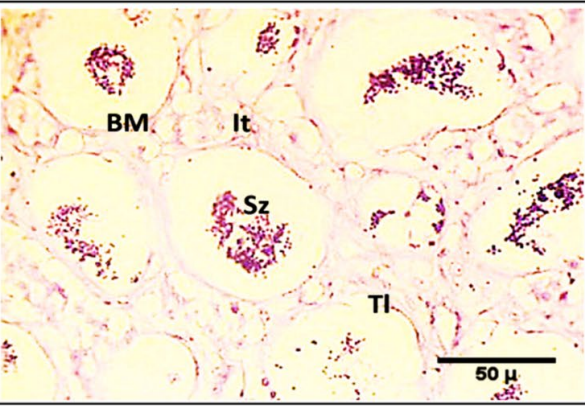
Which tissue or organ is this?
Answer: testis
